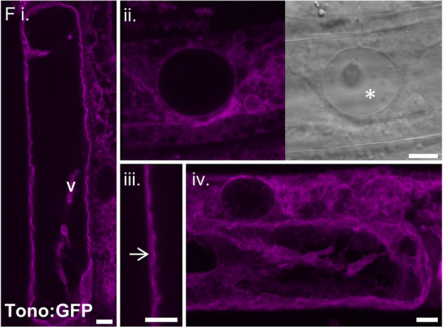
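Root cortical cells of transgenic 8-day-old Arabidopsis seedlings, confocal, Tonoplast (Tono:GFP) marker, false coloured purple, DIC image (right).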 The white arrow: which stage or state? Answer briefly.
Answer: Undulating appearance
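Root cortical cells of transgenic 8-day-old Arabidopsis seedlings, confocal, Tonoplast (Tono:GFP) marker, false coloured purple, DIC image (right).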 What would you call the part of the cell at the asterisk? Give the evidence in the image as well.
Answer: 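A large round body with a smooth outline lies under the asterisk in the grey image. A smaller round inclusion lies within it. The purple image shows a dark round hole ringed by bright signal at the same place. On this evidence: nucleus.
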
